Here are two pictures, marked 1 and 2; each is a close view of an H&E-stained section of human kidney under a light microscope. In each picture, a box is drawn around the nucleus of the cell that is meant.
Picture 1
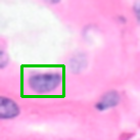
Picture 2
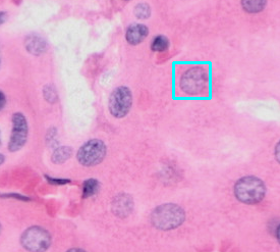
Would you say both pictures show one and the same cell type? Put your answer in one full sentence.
No, the types are not the same, since picture 1 shows a “loop of Henle or distal tubule cell” and picture 2 a proximal tubule cell.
